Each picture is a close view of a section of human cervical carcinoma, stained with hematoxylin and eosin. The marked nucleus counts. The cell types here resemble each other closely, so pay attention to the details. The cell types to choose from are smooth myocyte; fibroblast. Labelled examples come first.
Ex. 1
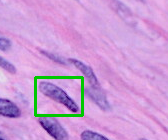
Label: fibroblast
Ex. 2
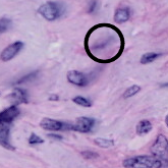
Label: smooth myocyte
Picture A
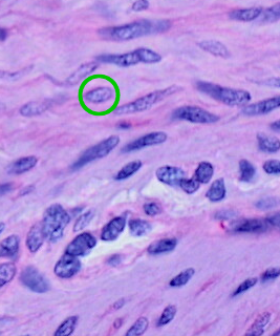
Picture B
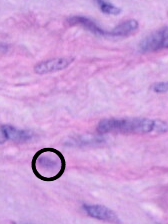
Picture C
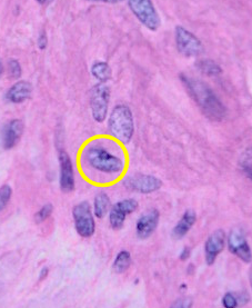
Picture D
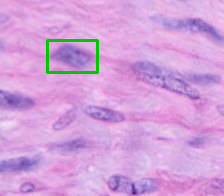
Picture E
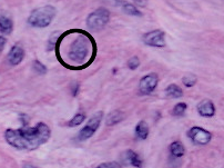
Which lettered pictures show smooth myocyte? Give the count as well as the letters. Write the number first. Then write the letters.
5: A, B, C, D, E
